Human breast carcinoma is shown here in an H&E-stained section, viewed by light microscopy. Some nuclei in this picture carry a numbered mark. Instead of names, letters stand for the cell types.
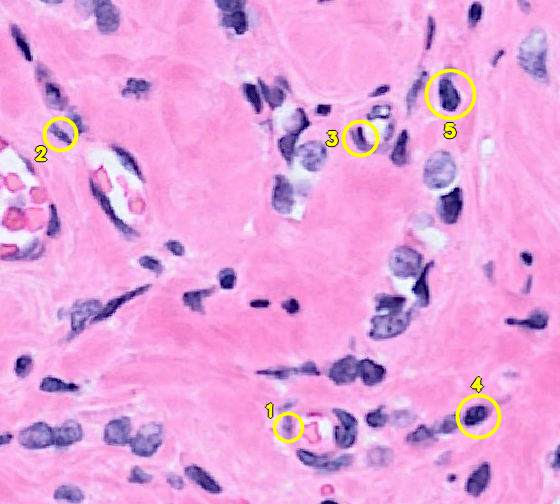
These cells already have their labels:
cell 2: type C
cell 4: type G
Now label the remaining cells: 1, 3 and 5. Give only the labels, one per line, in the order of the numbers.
type C
type C
type G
